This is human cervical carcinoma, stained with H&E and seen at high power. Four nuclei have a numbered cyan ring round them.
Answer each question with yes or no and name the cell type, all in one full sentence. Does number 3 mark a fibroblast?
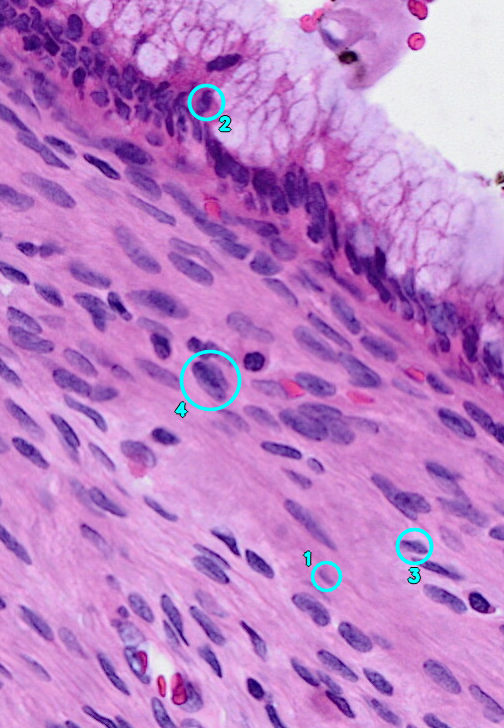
Yes, and to answer plainly, cell 3 is a fibroblast.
